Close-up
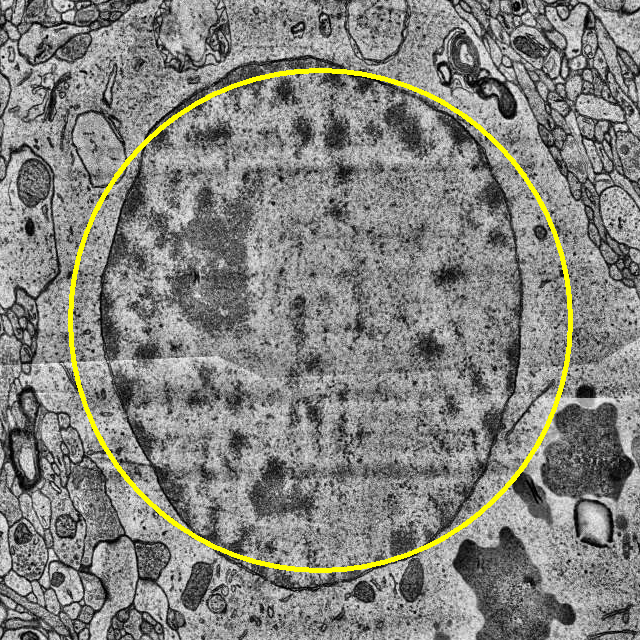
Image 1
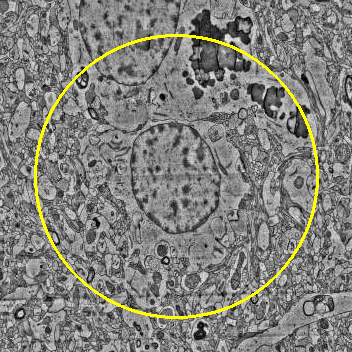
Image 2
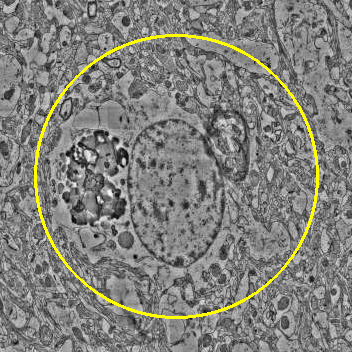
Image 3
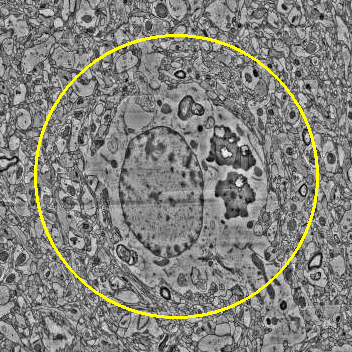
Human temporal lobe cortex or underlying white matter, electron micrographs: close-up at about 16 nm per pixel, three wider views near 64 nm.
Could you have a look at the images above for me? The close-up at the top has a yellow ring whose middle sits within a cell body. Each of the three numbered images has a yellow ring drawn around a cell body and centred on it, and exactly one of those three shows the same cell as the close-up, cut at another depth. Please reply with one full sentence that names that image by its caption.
Among the marked cells, the one enlarged in the close-up sits in Image 1.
